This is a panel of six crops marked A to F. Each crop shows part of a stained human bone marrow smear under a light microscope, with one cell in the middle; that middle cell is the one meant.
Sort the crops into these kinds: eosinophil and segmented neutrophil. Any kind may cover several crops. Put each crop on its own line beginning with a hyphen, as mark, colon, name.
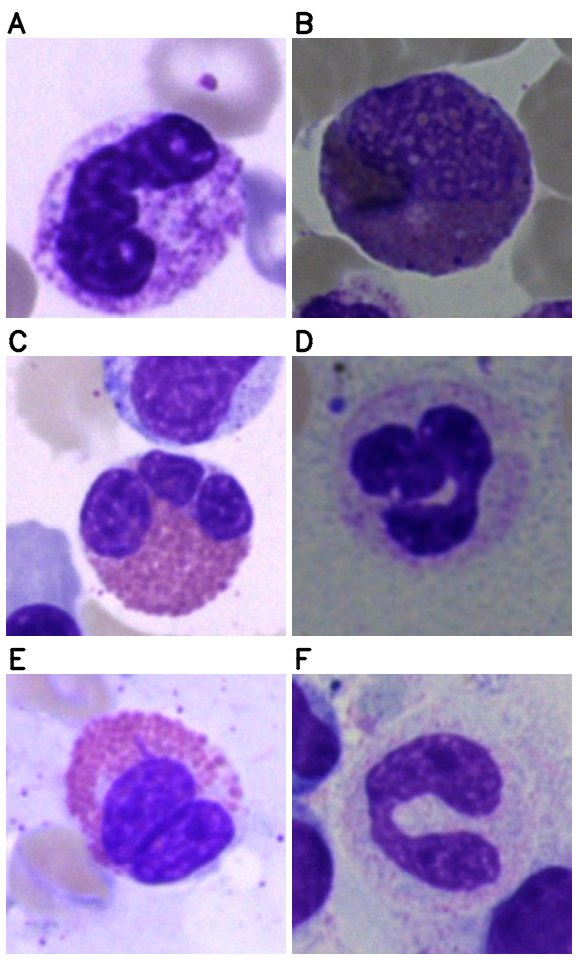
- A: segmented neutrophil
- B: eosinophil
- C: eosinophil
- D: segmented neutrophil
- E: eosinophil
- F: segmented neutrophil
